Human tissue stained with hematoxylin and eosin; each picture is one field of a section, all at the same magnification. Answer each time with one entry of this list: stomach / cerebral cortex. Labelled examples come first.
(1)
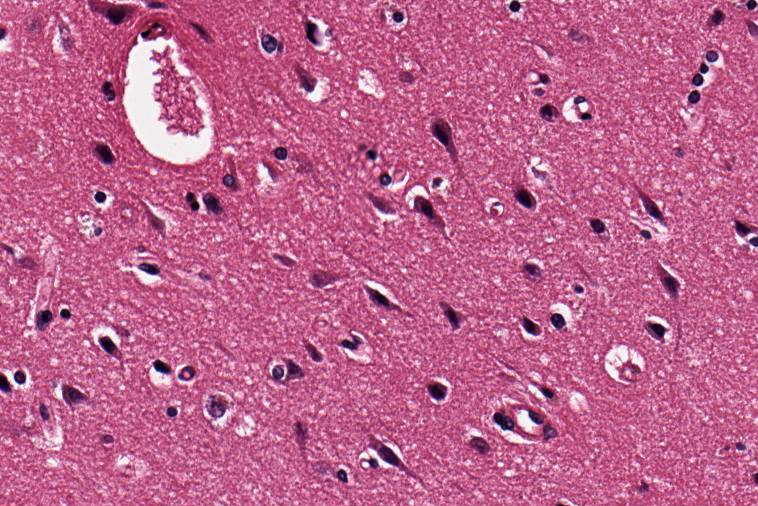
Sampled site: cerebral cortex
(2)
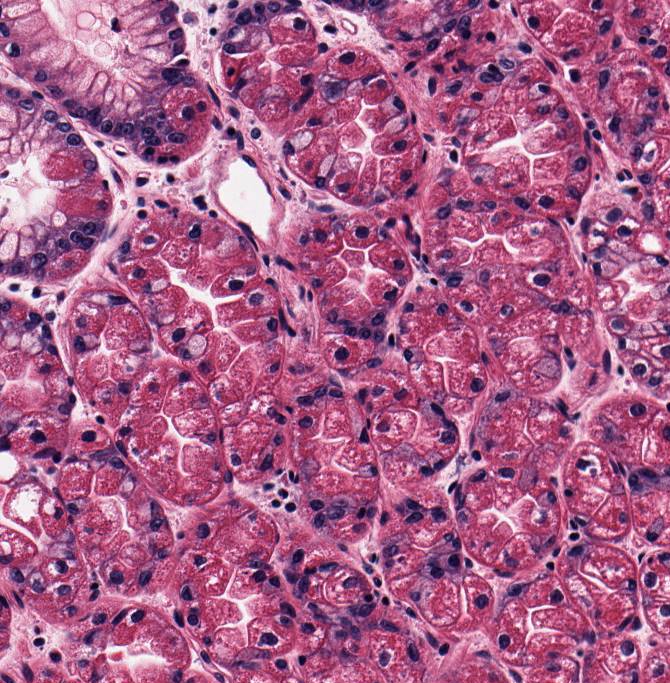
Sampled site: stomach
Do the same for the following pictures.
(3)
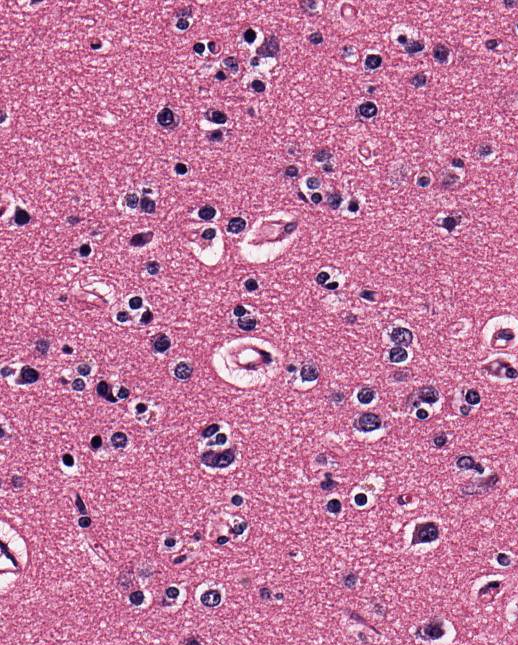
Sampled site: cerebral cortex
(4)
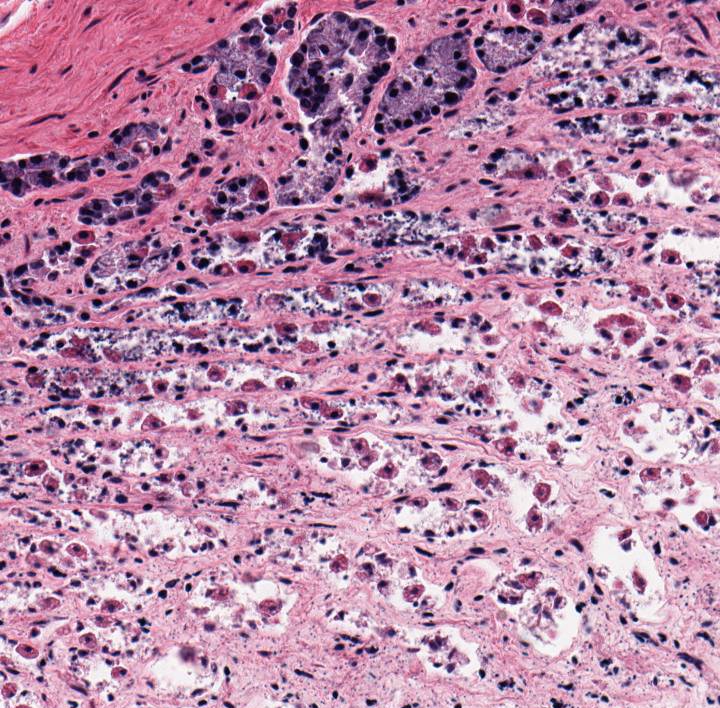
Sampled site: stomach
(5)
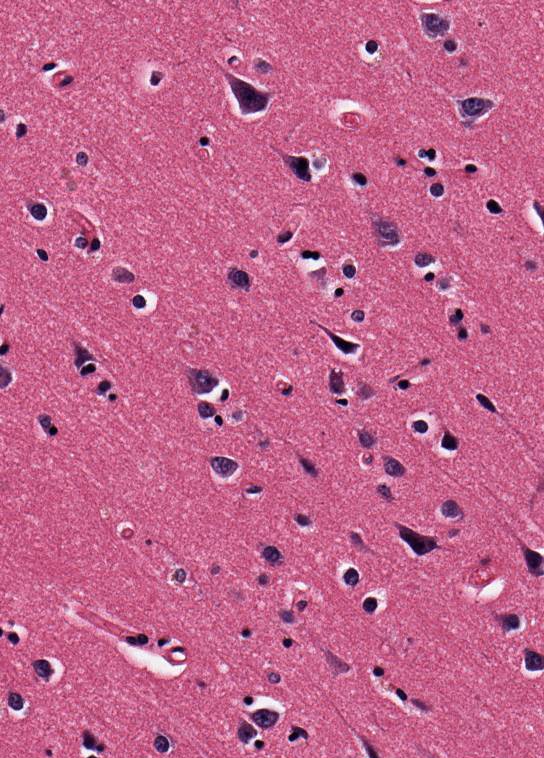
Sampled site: cerebral cortex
